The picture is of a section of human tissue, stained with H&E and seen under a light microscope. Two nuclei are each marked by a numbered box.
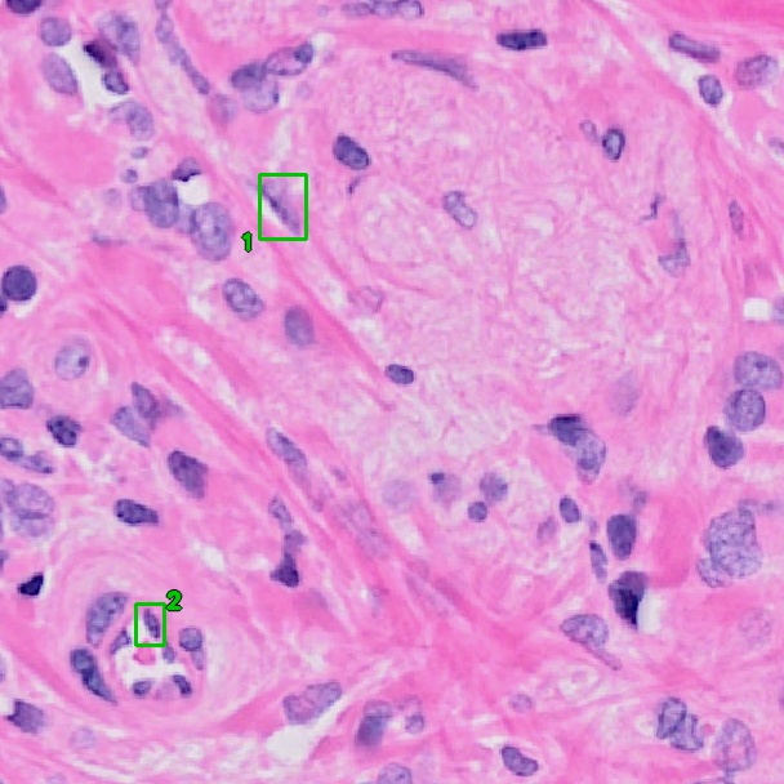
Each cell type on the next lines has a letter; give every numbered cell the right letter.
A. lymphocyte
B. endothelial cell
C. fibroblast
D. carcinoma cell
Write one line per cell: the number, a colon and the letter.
1: C
2: B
